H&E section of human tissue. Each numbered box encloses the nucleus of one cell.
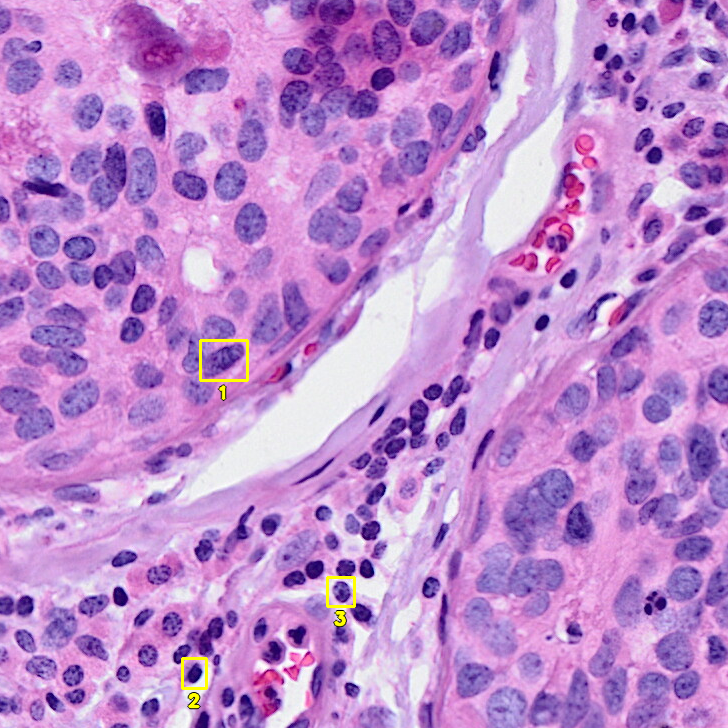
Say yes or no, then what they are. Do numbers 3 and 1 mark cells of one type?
No, cell 3 is a lymphocyte, and in contrast cell 1 is a carcinoma cell.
